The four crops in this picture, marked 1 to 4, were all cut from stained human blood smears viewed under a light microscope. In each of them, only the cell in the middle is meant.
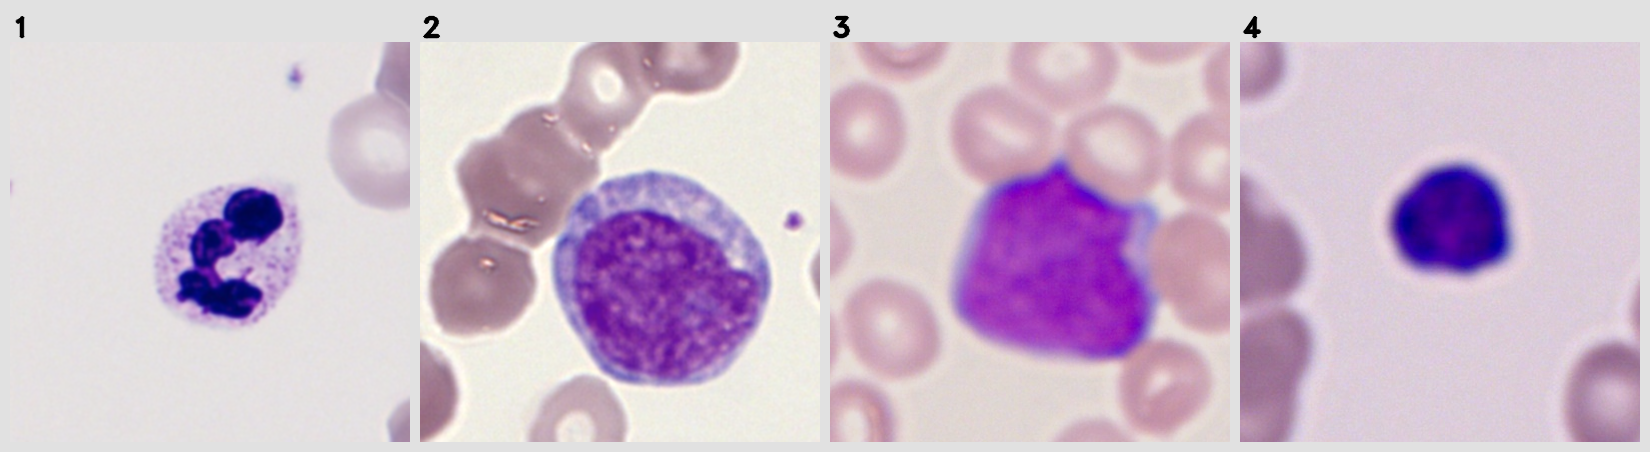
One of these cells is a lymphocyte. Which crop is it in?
4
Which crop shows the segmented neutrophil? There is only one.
1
